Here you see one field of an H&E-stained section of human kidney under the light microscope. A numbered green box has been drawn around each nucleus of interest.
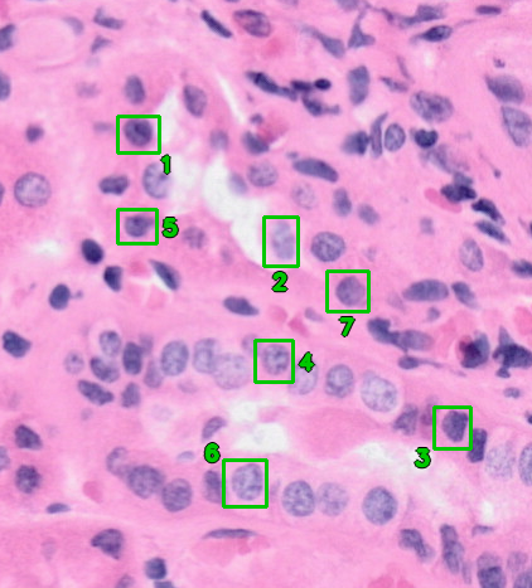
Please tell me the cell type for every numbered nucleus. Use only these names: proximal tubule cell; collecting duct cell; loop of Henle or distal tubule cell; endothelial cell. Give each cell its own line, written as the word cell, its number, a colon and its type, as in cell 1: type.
cell 1: loop of Henle or distal tubule cell
cell 2: loop of Henle or distal tubule cell
cell 3: collecting duct cell
cell 4: collecting duct cell
cell 5: loop of Henle or distal tubule cell
cell 6: collecting duct cell
cell 7: loop of Henle or distal tubule cell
